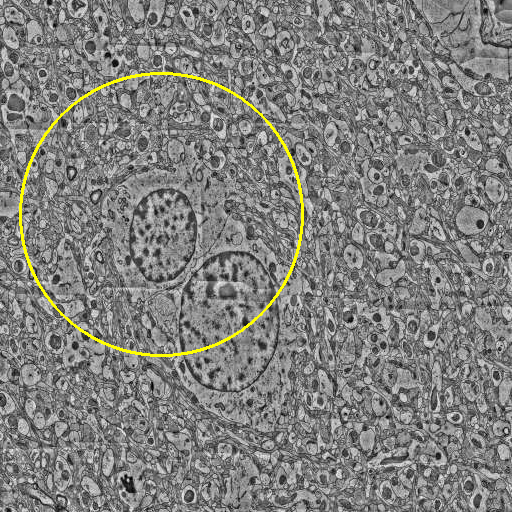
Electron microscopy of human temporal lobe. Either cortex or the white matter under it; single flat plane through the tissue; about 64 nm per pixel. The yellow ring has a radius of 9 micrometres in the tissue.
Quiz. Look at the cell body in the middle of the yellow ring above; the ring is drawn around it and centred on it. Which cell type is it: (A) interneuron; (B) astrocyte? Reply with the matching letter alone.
B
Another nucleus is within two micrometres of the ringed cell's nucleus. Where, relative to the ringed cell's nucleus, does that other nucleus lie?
The other nucleus lies to the lower right of it.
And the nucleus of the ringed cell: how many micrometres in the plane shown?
In this plane the nucleus measures roughly 6 by 4 micrometers.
